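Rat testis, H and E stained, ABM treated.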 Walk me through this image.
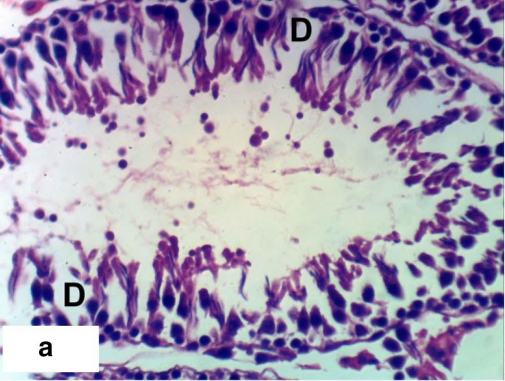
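Near the base lie rows of round, darkly stained purple nuclei, while bundles of elongated dark heads of late spermatids point toward the lumen. Scattered rounded cells float free in the lumen among fine pink strands, and stretches of the epithelium look thinned and disorganised, in keeping with degeneration of the germ cells.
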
